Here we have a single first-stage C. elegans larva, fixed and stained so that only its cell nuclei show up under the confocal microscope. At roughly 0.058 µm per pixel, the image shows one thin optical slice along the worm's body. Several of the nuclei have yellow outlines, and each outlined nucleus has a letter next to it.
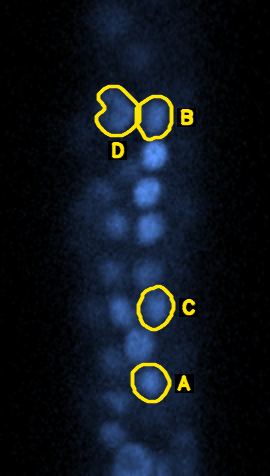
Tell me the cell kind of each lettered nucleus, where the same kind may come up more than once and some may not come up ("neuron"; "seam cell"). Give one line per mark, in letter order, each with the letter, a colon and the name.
A: neuron
B: neuron
C: neuron
D: seam cell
